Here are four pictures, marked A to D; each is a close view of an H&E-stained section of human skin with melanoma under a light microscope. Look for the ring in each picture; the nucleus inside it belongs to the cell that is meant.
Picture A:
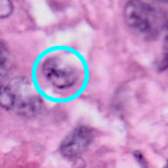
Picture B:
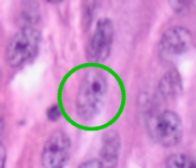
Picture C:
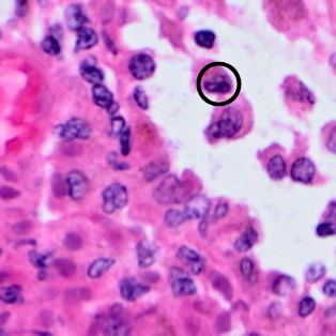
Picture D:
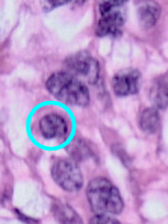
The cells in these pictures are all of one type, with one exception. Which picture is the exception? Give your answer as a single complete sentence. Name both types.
Picture C differs, because its cell is a “macrophage or monocyte” and the rest are melanoma cells.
